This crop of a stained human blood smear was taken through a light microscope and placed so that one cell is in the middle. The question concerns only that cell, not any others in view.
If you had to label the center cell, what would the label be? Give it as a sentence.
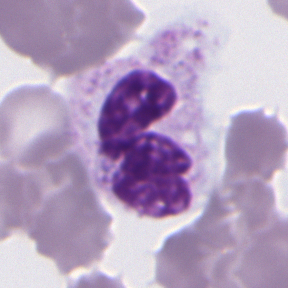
This particular crop is centered on a segmented neutrophil.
